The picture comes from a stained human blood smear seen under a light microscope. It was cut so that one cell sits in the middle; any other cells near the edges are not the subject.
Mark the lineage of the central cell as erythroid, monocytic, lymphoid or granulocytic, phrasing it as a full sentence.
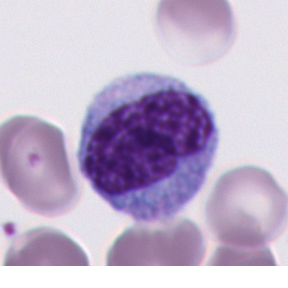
The cell found in the middle of this crop is monocytic in lineage.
